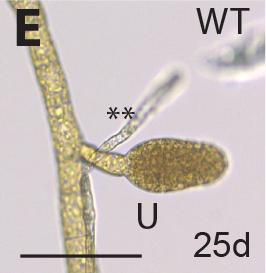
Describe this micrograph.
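The sporangium is a large oval body, densely filled with dark brown granular contents, attached laterally by a short stalk to an upright filament of cylindrical cells with golden-brown granular cytoplasm. The sporangium is markedly wider than the cells of the filament that carries it.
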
